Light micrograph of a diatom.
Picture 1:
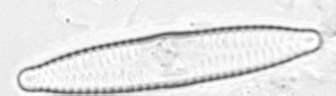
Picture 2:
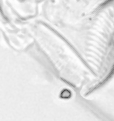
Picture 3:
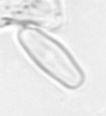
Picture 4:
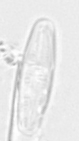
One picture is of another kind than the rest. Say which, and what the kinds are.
Picture 1 shows Fragilaria; the rest show Achnanthidium.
